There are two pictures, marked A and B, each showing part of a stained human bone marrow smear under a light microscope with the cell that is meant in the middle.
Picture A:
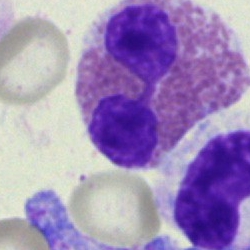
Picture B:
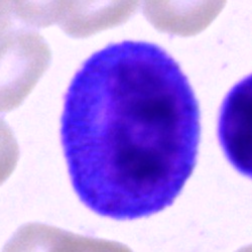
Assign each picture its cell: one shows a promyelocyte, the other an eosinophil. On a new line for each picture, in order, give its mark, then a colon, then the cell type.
A: eosinophil
B: promyelocyte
